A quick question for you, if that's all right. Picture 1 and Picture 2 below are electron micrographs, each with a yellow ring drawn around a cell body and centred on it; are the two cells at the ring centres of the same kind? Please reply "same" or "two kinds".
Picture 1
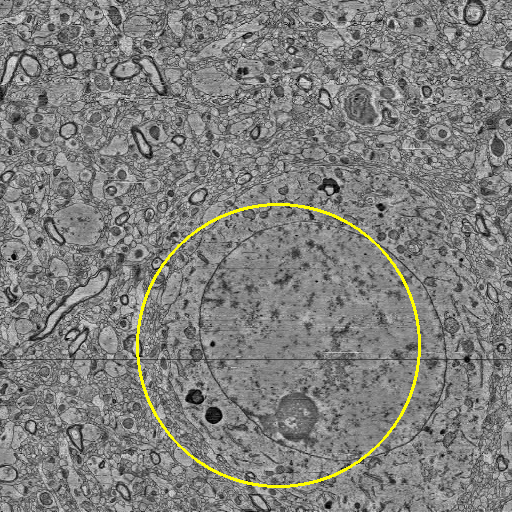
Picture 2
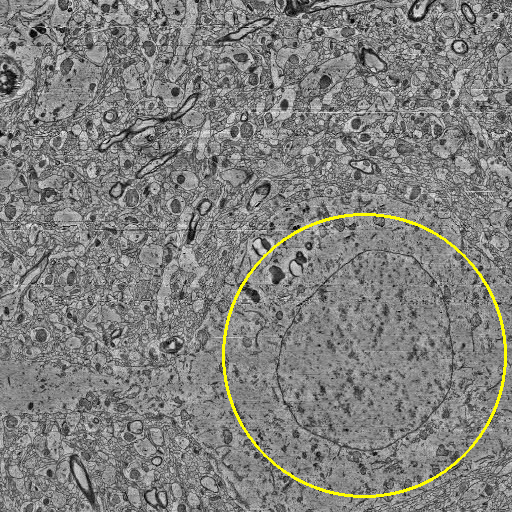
same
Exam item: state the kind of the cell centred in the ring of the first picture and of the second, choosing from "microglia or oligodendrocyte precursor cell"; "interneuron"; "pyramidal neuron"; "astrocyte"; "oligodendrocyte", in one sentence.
Each of the two cells is a pyramidal neuron.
